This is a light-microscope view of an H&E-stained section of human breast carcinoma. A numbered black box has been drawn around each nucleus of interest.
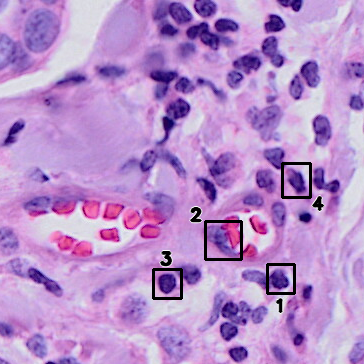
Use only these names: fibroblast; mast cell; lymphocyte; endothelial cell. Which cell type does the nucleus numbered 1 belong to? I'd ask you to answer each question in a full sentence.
The numbered cell 1 in this field is a lymphocyte.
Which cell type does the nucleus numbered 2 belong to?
The label 2 in this section denotes an endothelial cell.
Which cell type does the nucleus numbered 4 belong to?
The cell that bears the number 4 is a lymphocyte.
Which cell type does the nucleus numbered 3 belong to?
Cell 3 is classified as a lymphocyte.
